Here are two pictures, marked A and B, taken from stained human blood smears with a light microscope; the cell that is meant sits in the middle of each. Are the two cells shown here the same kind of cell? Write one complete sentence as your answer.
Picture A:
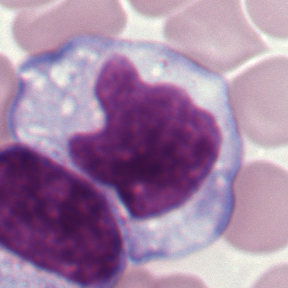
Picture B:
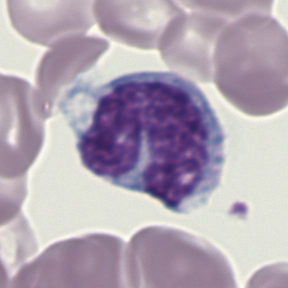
Yes, they are the same type: both are monocytes.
